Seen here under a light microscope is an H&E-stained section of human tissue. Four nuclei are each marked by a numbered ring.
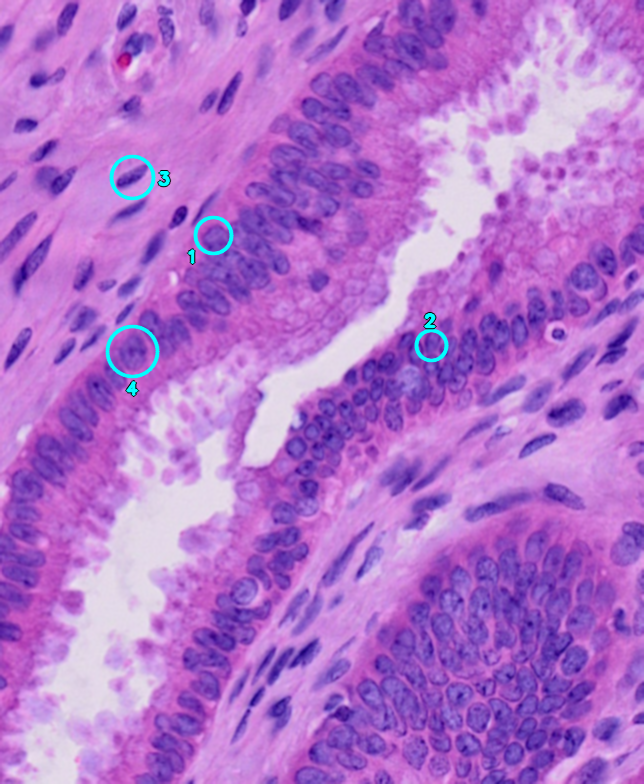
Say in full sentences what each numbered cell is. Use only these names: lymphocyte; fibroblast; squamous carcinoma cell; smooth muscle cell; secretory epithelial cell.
Cell 1 is a secretory epithelial cell, cell 2 is a secretory epithelial cell, cell 3 is a fibroblast and cell 4 is a secretory epithelial cell.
